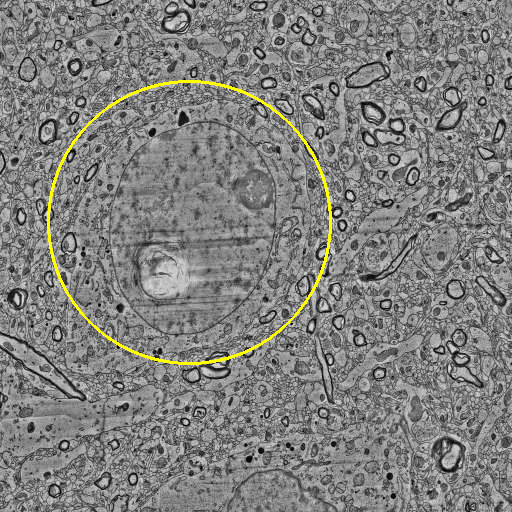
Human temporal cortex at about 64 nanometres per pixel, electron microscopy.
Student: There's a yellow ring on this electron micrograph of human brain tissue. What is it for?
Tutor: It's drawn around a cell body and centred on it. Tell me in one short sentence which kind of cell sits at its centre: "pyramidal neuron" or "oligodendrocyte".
The cell at the centre of the ring is a pyramidal neuron.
